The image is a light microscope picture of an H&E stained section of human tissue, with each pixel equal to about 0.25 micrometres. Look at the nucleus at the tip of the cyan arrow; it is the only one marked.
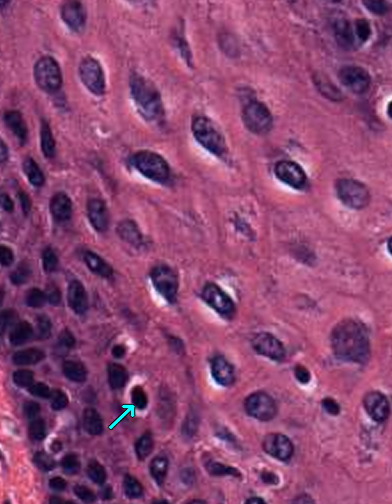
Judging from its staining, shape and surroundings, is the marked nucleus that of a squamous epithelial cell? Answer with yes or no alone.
no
